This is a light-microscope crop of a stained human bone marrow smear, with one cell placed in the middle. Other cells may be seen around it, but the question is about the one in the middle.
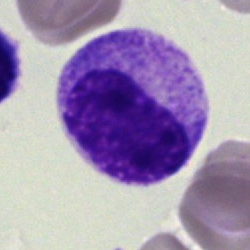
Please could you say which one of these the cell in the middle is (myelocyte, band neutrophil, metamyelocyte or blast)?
myelocyte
